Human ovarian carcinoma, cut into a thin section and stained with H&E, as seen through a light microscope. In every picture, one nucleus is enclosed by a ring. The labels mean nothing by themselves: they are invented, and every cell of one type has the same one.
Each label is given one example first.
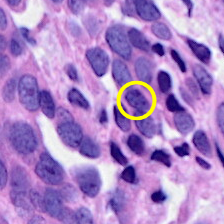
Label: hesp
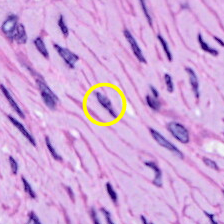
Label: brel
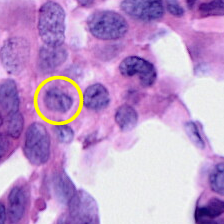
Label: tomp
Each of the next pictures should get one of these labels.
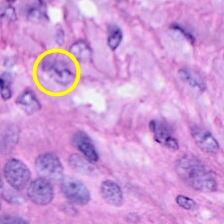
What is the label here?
brel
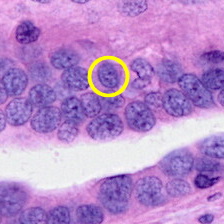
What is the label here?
hesp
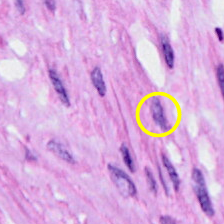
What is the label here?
brel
